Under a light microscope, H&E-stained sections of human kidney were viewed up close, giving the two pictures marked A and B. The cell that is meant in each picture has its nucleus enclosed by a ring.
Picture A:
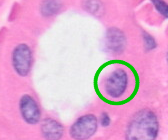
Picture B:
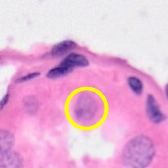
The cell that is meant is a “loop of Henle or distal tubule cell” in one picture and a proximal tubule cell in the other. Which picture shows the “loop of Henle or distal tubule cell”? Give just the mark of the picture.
A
